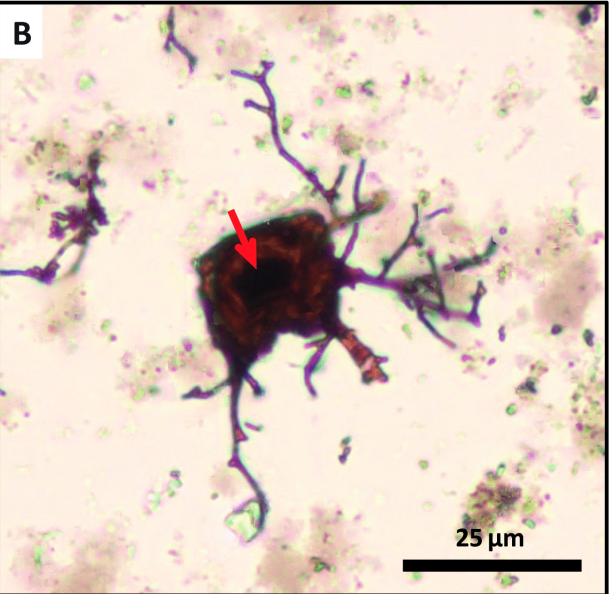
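An angular, reddish-brown body lies free among scattered small debris, with a blackish area at its centre. Several slender dark purple processes leave its edges, branching one or more times, some running long distances across the field; a short thick pale-brown stub projects to the lower right. The body is broad rather than elongated.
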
